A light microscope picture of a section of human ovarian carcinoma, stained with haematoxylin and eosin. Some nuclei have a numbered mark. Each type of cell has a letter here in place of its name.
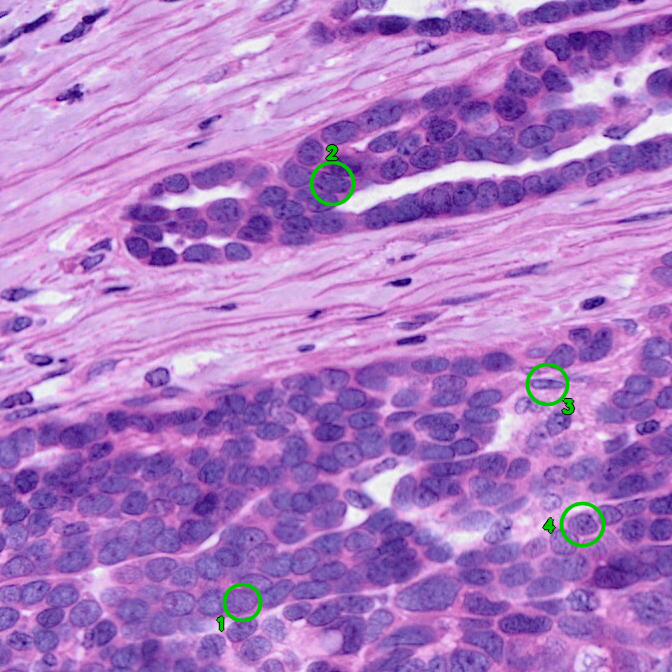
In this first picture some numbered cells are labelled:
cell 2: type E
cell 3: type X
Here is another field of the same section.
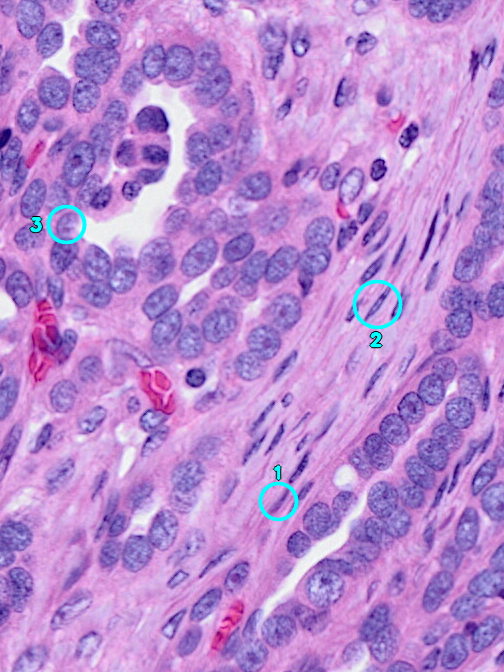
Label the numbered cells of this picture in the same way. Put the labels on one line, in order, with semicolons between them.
type X; type X; type E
